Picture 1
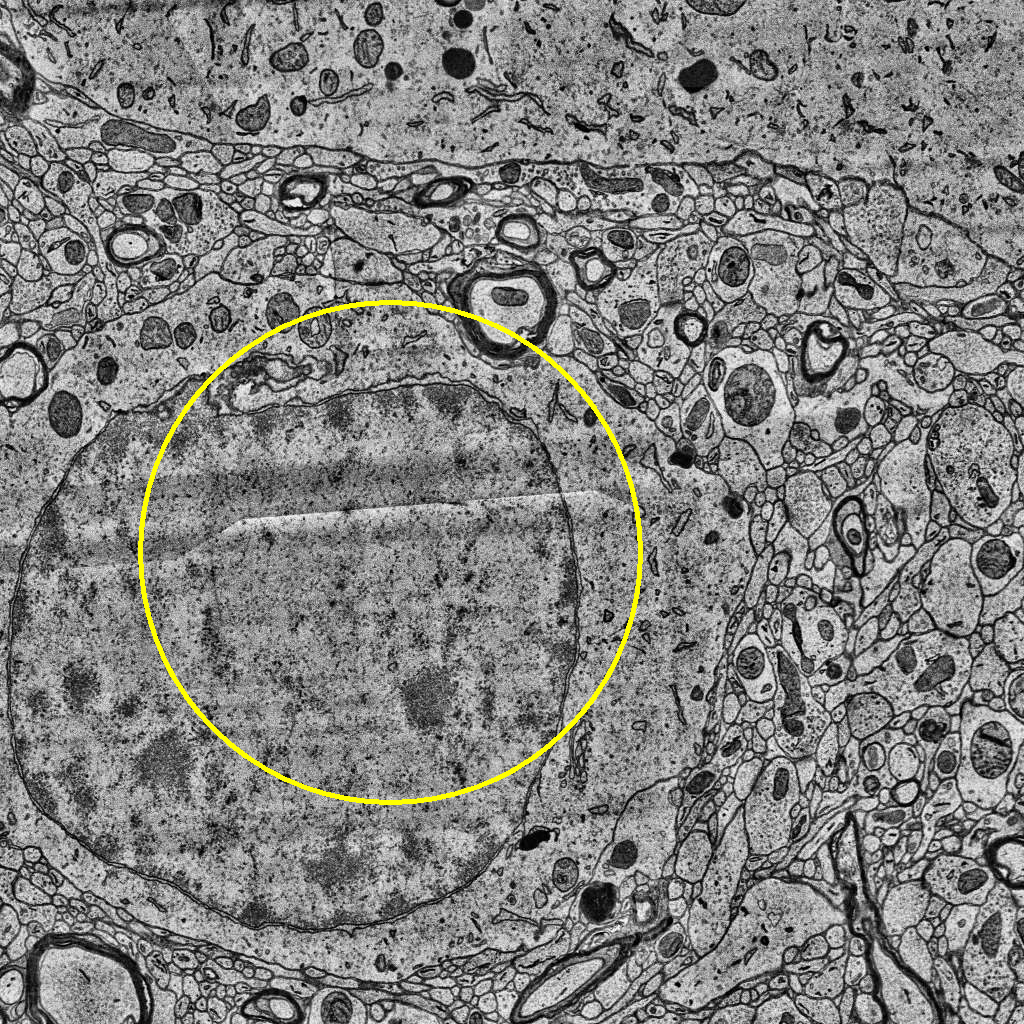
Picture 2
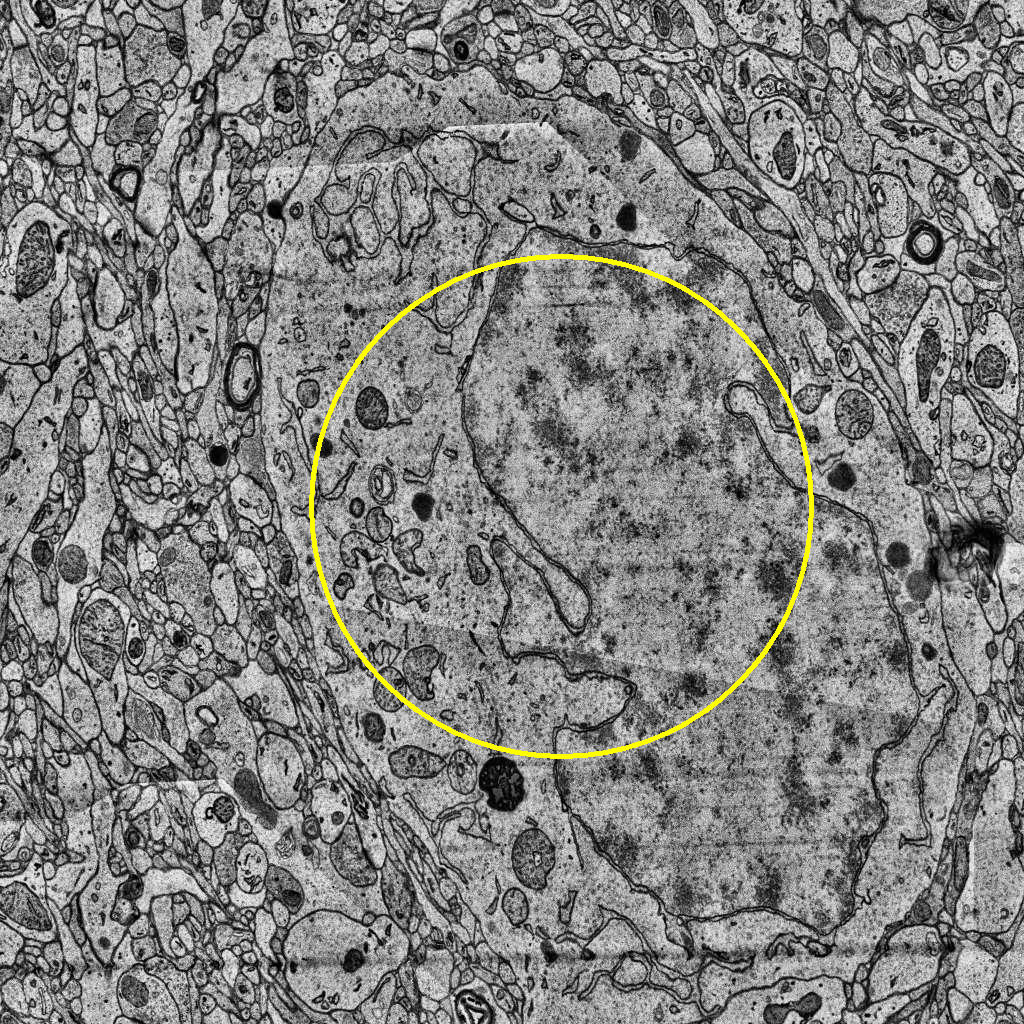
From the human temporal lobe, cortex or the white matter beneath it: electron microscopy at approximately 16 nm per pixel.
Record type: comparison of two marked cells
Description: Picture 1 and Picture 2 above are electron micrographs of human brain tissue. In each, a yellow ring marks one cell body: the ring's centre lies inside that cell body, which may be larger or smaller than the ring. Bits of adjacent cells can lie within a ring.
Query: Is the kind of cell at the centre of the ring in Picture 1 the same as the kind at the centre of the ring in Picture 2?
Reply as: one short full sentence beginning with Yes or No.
Yes, the two cells at the ring centres are of the same kind.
